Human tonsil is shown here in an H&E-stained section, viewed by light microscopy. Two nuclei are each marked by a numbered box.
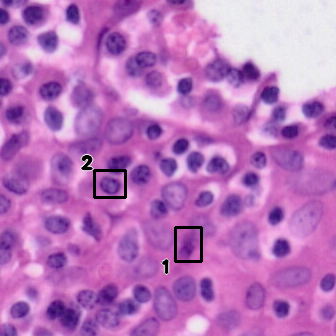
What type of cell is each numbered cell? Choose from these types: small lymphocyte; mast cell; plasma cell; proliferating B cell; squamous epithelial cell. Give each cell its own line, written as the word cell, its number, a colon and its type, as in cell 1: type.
cell 1: squamous epithelial cell
cell 2: plasma cell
